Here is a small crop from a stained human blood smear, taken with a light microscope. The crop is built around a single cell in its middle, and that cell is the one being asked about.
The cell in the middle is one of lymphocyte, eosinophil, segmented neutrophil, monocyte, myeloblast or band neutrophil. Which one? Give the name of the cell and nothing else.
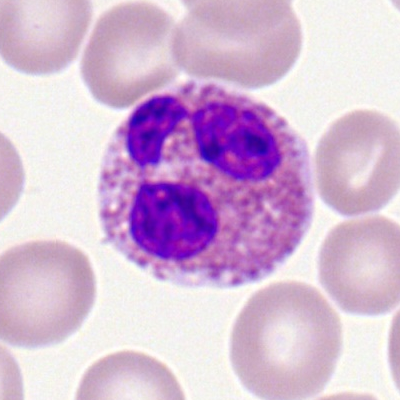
eosinophil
